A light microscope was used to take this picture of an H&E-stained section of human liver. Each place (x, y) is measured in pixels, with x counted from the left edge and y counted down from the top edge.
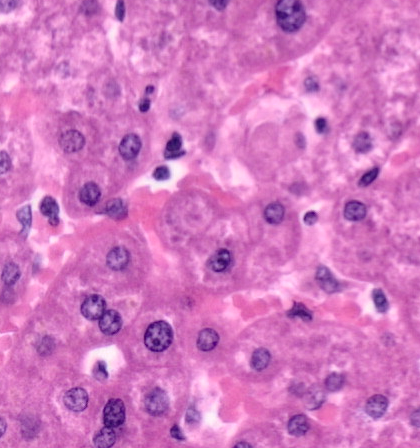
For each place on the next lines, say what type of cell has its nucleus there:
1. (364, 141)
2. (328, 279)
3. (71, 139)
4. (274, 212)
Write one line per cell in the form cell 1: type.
cell 1: hepatocyte
cell 2: Kupffer cell
cell 3: hepatocyte
cell 4: hepatocyte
